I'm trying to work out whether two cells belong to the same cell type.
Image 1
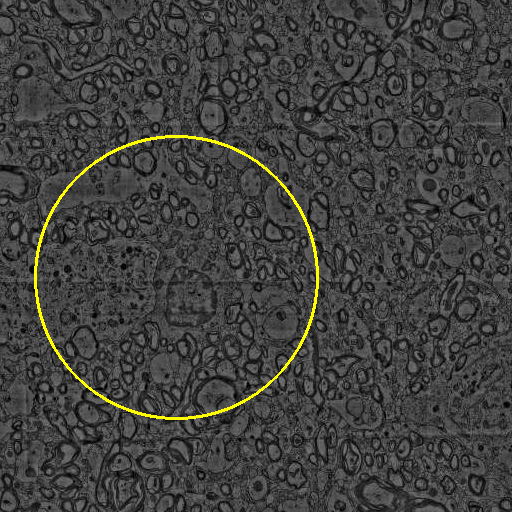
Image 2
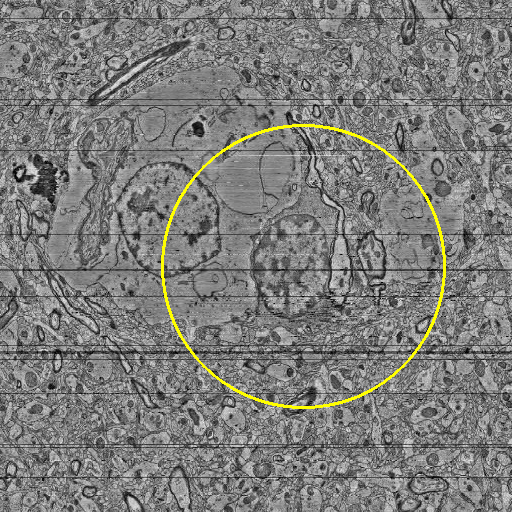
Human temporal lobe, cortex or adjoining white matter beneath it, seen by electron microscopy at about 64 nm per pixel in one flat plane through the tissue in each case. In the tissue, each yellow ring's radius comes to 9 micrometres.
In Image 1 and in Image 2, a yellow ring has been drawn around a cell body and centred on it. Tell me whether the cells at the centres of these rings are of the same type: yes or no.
yes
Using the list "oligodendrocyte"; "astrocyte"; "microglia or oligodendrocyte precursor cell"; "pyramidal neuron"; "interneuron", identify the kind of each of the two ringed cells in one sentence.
In both pictures the ring is centred on an oligodendrocyte.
